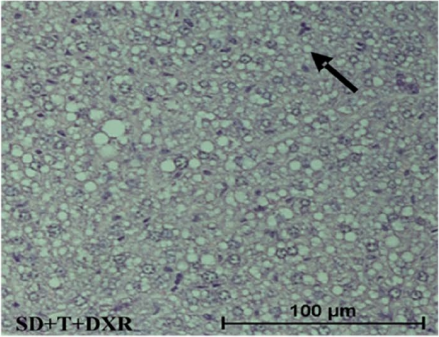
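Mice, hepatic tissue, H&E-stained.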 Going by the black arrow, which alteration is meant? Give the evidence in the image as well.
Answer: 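Hepatocyte cytoplasm is filled with many small clear vacuoles. Nuclei remain central in the vacuolated cells. The change is diffuse across the field.
Conclusion: Microvesicular steatosis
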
